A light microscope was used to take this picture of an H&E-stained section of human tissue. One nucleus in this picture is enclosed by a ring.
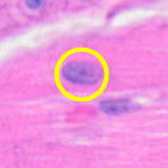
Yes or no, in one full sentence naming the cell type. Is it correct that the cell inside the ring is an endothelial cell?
No, mark the cell inside the ring as a cardiomyocyte, not as an endothelial cell.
